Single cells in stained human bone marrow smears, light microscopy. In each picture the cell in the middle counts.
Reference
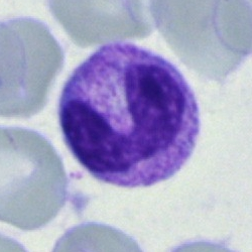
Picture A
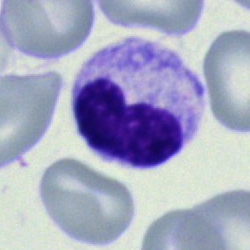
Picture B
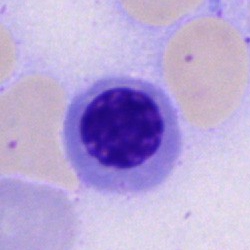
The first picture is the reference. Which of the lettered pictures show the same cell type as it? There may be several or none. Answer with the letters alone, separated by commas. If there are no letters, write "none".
A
